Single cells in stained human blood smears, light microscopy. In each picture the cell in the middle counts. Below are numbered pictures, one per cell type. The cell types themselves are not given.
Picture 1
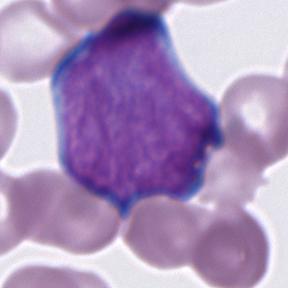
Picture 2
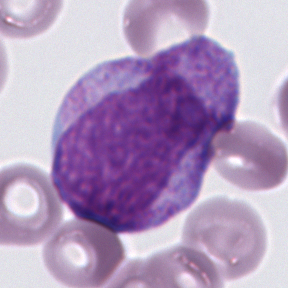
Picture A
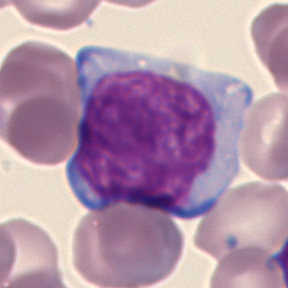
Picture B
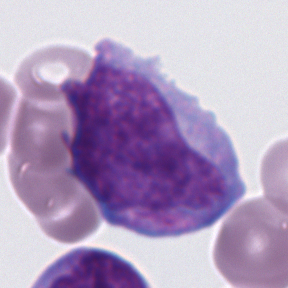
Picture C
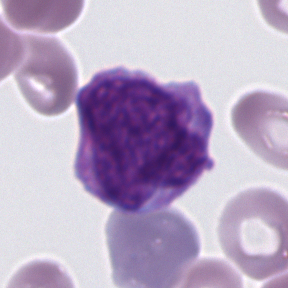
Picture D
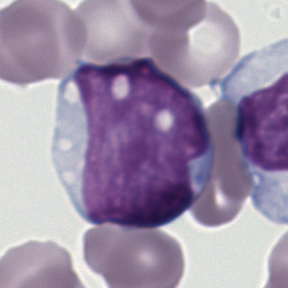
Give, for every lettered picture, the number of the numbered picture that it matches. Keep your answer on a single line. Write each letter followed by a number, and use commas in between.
A 1, B 2, C 2, D 1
